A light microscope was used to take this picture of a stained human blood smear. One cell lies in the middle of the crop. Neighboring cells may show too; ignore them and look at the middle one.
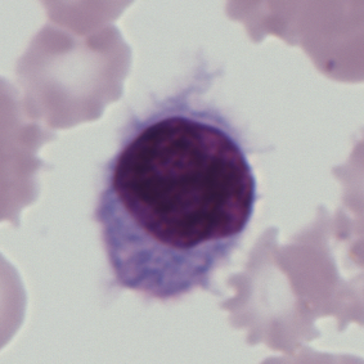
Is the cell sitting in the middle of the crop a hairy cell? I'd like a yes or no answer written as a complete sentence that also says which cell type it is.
Yes, the cell placed centrally within the crop is a hairy cell.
